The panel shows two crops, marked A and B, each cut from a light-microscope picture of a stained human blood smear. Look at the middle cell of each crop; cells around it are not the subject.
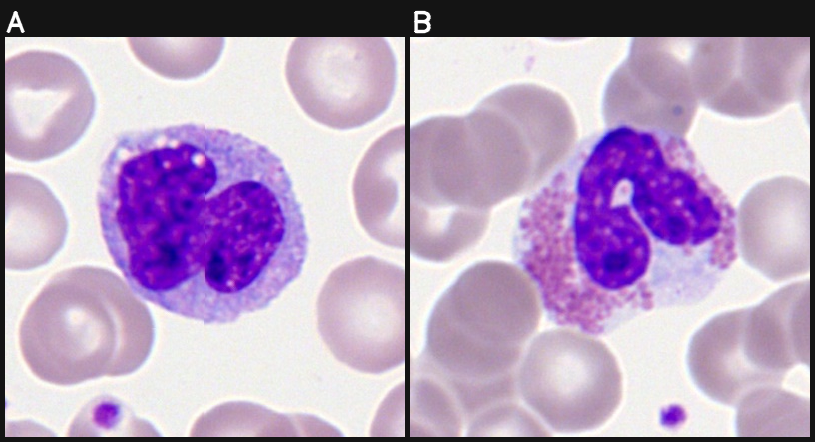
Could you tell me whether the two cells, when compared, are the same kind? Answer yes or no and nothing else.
no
